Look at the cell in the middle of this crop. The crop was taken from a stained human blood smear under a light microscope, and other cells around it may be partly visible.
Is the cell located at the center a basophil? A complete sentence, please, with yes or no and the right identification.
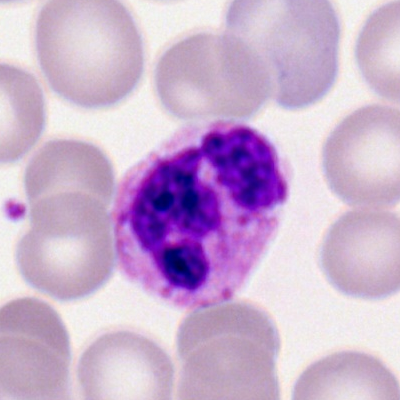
Yes, the cell that is in the middle is a basophil.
